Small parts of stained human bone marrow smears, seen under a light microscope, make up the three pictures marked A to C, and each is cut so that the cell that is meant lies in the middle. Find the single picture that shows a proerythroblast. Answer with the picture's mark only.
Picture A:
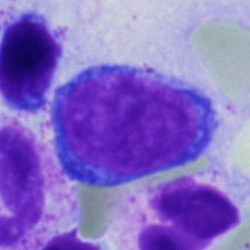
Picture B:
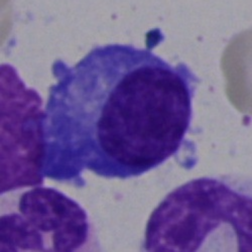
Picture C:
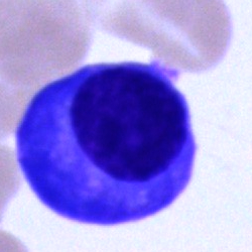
A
